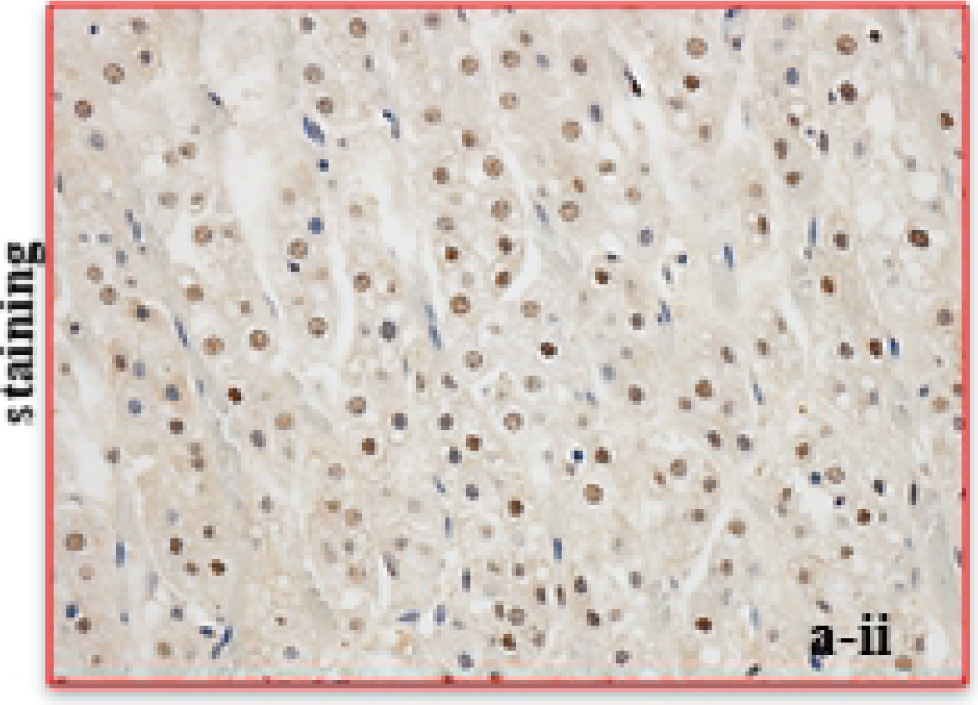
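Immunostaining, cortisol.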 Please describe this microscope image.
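Adrenal gland tissue with cords of epithelial cells whose round nuclei are stained brown, many strongly, against a pale beige cytoplasm. Scattered thin, elongated blue-counterstained nuclei lie along the narrow spaces between the cords.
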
